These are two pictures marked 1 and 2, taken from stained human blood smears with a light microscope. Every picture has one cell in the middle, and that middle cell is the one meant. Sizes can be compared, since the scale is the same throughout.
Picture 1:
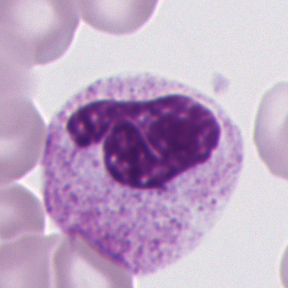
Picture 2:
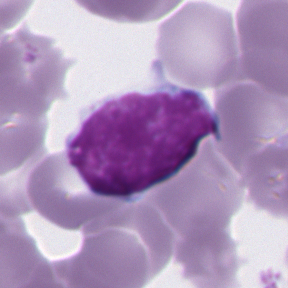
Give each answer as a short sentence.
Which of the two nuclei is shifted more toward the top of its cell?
Seen within its cell, the nucleus in picture 1 lies further toward the top.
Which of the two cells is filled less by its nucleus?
In picture 1 the nucleus takes up the smaller part of its cell.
